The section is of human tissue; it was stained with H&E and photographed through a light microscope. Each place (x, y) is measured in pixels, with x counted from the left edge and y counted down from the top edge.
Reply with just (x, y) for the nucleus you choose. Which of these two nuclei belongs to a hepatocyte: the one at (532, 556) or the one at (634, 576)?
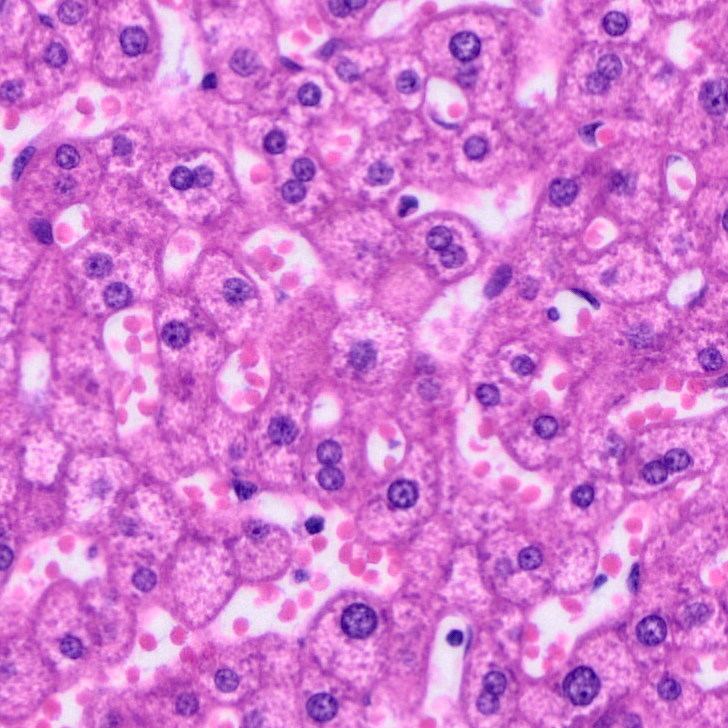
(532, 556)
